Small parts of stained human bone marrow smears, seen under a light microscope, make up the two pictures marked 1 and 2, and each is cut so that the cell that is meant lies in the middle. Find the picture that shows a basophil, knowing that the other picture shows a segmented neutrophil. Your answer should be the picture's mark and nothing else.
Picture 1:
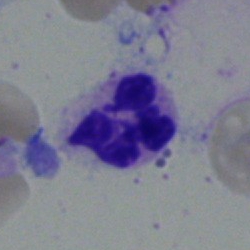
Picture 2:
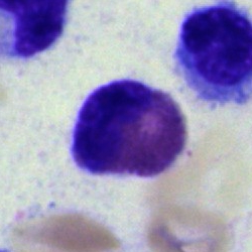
2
